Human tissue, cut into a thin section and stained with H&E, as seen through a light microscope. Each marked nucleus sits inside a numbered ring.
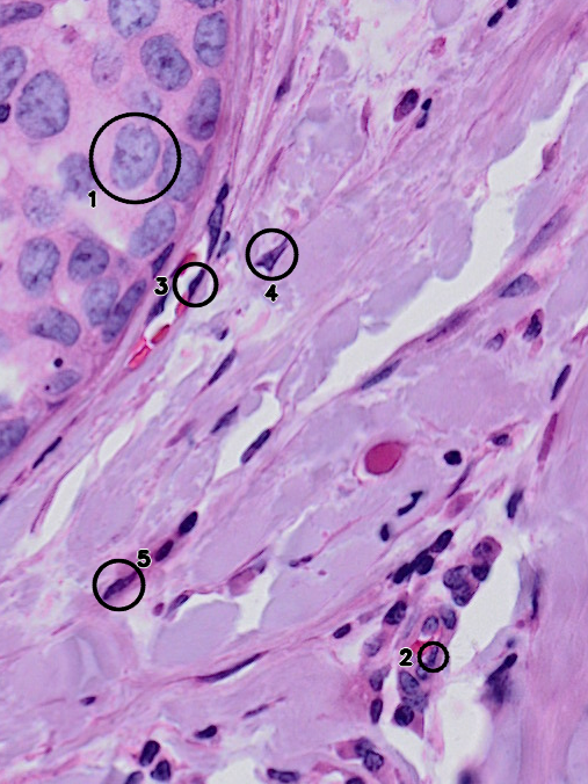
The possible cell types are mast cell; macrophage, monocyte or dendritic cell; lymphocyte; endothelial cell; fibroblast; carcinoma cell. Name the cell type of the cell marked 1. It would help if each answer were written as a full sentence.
Within this field of view, the cell labelled 1 is a carcinoma cell.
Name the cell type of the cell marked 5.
In the tissue shown, cell 5 is a fibroblast.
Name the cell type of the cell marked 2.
The cell that is numbered 2 is an endothelial cell.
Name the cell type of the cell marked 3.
The cell referenced by the number 3 is an endothelial cell in this field.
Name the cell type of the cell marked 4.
Cell 4 of the marked set is a fibroblast.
